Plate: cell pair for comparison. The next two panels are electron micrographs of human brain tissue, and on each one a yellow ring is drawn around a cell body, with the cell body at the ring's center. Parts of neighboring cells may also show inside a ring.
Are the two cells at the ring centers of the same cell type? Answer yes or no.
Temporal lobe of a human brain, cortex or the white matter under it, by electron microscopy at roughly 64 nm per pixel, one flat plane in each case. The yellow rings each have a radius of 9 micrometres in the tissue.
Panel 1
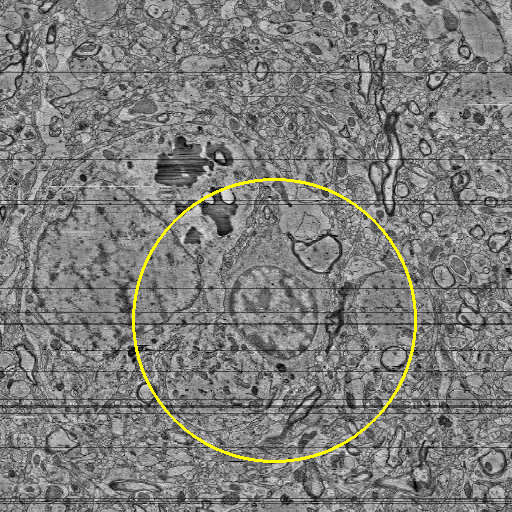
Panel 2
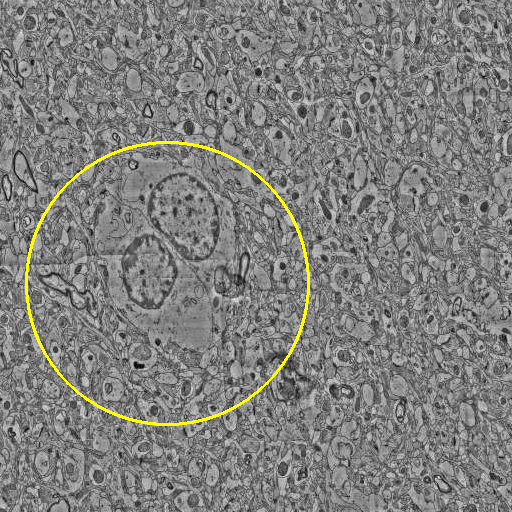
no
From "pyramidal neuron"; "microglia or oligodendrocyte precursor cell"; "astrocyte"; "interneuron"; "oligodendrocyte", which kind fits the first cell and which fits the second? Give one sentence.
The cell marked in the first picture is an oligodendrocyte, and the one marked in the second is an astrocyte.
